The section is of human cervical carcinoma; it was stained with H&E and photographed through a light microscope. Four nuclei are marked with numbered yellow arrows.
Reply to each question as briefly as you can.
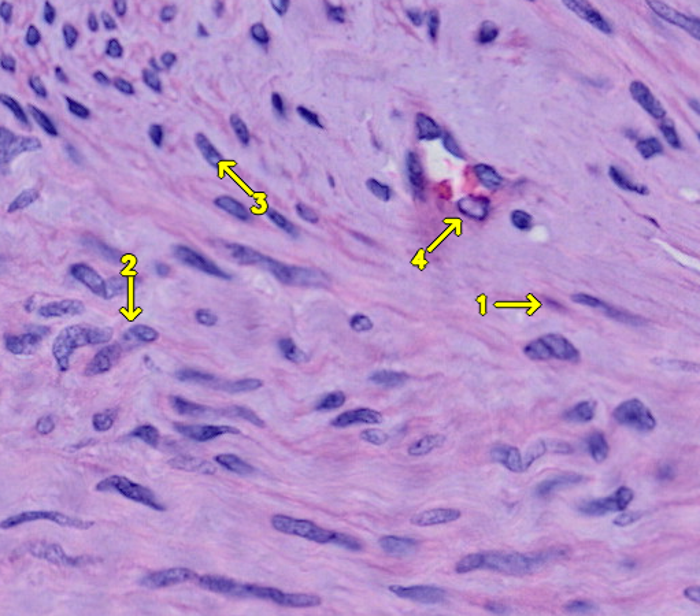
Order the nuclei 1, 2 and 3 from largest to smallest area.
2, 3, 1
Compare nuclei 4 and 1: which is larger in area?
4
